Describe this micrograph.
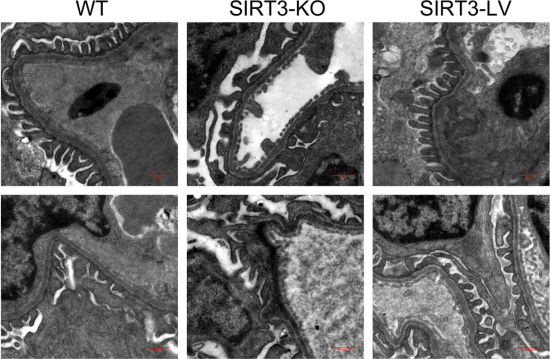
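These electron micrographs show the podocyte foot processes of the kidney filter, resting in rows on a dark, continuous membrane line. In some fields the foot processes are slender, evenly spaced and neatly interdigitated, with narrow slits between them. In other fields they are broadened and flattened along the membrane, with fewer and wider gaps. Larger cell bodies with nuclei and cytoplasm lie above the processes, and capillary spaces lie on the other side of the membrane.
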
